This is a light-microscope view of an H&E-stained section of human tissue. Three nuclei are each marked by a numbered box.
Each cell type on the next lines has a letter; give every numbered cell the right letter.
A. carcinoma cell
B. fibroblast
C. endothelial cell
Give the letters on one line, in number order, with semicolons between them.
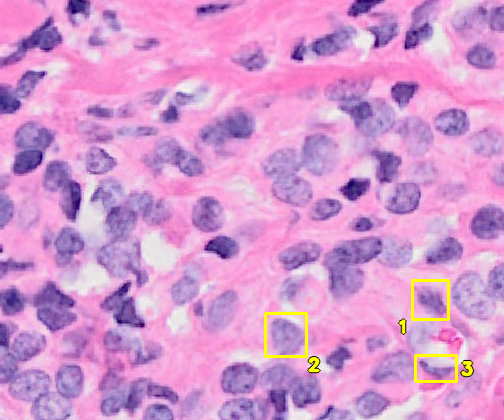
C; A; C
